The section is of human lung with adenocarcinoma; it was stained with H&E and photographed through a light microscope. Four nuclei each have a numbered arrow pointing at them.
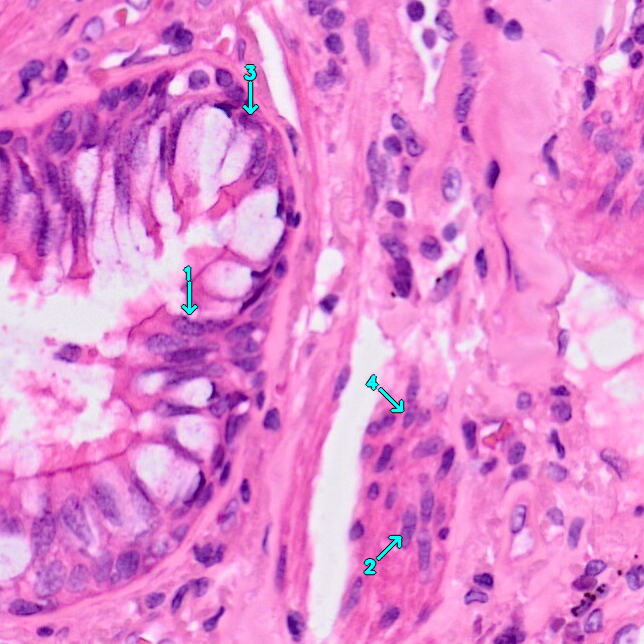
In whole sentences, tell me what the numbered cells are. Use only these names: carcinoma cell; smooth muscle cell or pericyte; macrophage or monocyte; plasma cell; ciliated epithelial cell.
Cell 1 is a ciliated epithelial cell, cell 2 is a smooth muscle cell or pericyte, cell 3 is a ciliated epithelial cell and cell 4 is a smooth muscle cell or pericyte.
